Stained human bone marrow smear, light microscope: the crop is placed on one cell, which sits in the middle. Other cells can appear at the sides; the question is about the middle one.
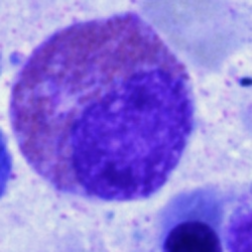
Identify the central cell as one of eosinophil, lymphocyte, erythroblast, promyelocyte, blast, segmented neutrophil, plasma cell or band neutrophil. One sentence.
The cell shown in the center of this light-microscope crop is an eosinophil.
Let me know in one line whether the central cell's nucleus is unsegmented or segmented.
Have a look at the nucleus, which is one compact mass, round, oval or kidney-shaped.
